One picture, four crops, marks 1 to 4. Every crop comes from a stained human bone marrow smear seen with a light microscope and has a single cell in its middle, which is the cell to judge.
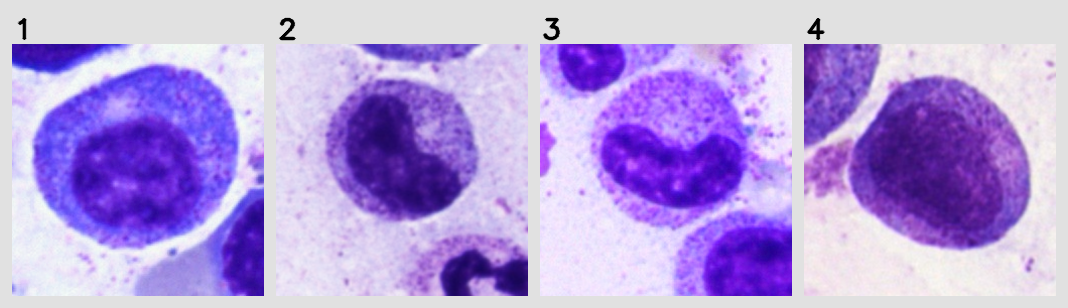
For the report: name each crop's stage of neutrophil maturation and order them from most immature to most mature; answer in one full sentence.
Maturity order, least to most: crop 1 (a promyelocyte), crop 4 (a myelocyte), crop 2 (a metamyelocyte) and crop 3 (a band neutrophil).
